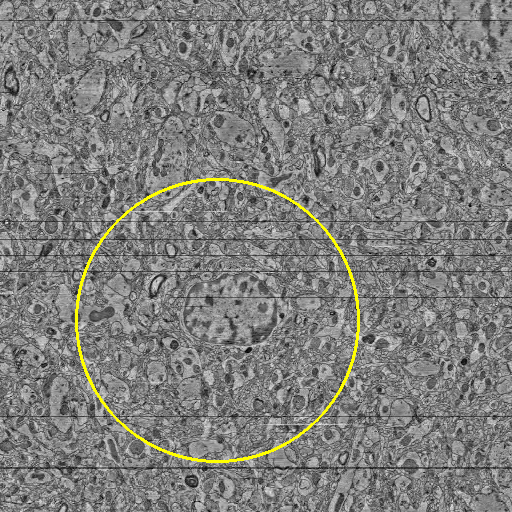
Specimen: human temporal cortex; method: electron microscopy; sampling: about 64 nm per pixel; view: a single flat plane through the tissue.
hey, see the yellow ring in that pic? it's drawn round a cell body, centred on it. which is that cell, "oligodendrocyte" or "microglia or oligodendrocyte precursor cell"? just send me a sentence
The cell in the ring is a microglial cell or oligodendrocyte precursor cell.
